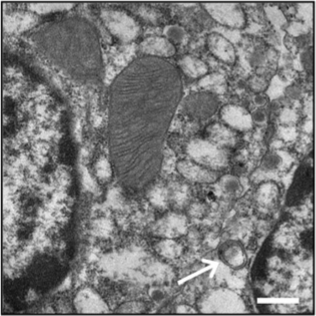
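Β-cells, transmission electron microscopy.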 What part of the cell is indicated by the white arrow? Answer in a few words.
Autophagosomes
